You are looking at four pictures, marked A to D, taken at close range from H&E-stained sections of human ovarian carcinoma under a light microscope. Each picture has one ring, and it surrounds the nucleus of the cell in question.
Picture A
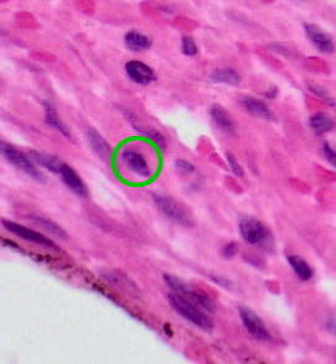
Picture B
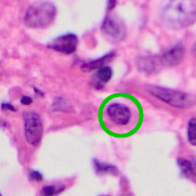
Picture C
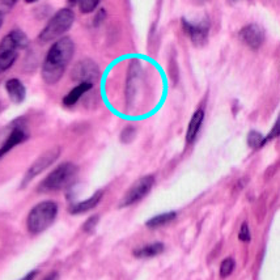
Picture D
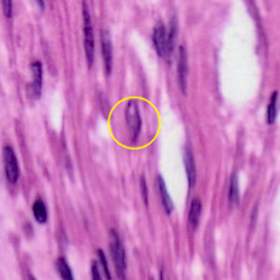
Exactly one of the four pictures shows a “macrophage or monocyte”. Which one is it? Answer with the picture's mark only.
B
